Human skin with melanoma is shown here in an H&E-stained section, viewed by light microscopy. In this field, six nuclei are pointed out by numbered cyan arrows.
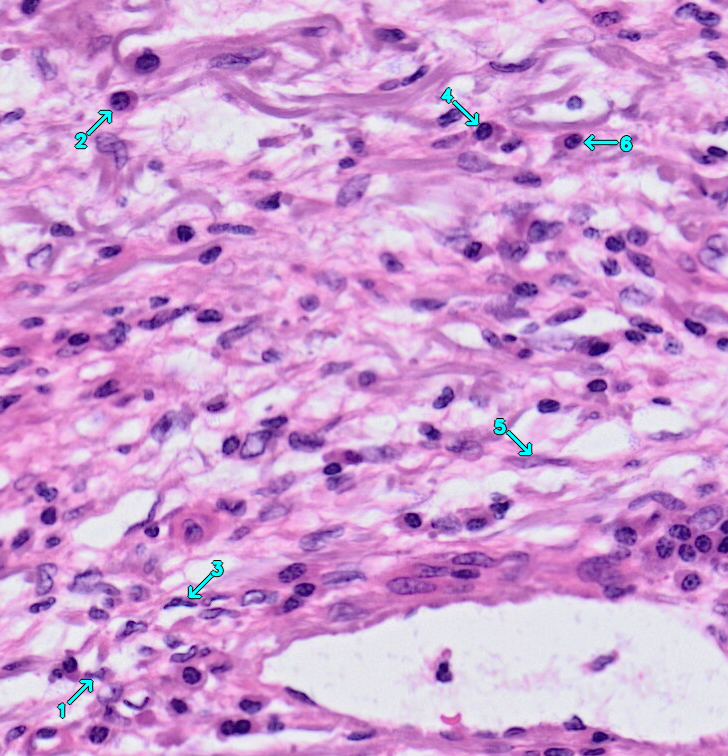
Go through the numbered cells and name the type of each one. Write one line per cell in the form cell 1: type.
cell 1: fibroblast or myofibroblast
cell 2: plasma cell
cell 3: fibroblast or myofibroblast
cell 4: plasma cell
cell 5: fibroblast or myofibroblast
cell 6: plasma cell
